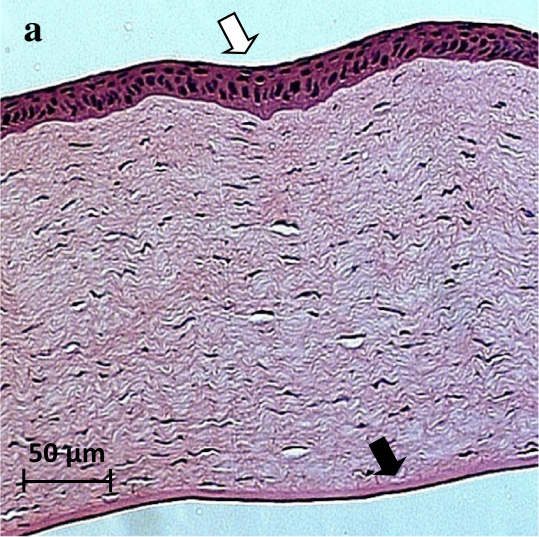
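A full-thickness section of cornea with a dark pink-purple epithelium several cells thick along the upper surface, its nuclei crowded and dark. Below it lies a thick, pale pink layer of wavy, parallel fibres with scattered, flattened, dark nuclei and a few small clefts. The lower surface is lined only by a very thin layer, the endothelium.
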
